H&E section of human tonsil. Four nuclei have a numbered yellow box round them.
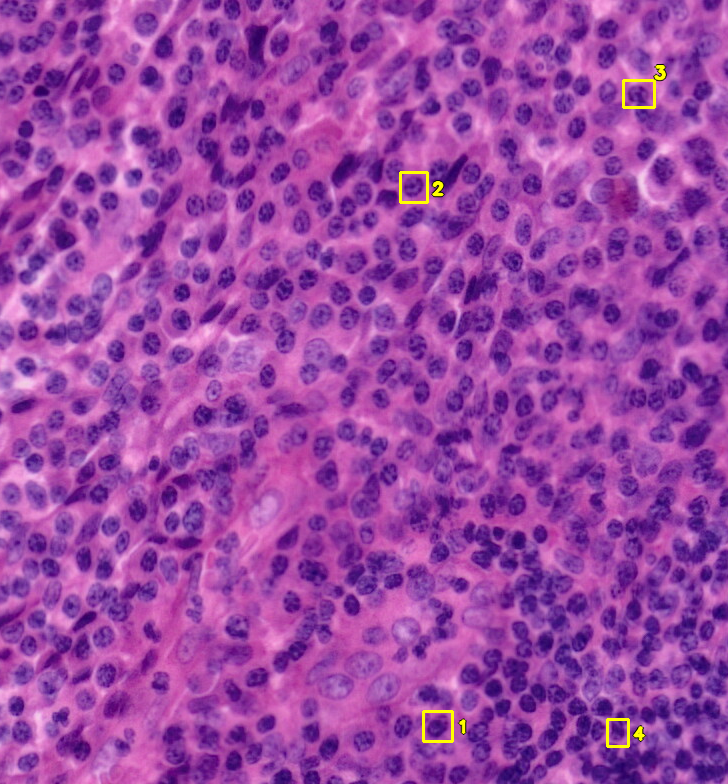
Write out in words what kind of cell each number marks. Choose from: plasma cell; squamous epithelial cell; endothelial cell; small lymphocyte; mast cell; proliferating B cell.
Cells 1, 2 and 3 are plasma cells. Cell 4 is a small lymphocyte.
